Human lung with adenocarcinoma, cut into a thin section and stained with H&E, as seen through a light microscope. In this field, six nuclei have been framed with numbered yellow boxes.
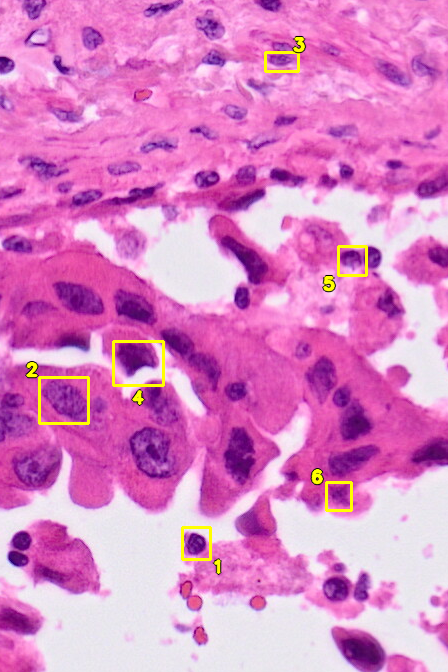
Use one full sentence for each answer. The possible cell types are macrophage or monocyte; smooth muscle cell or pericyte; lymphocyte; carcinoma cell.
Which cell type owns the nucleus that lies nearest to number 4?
The nucleus nearest to number 4 is that of a carcinoma cell.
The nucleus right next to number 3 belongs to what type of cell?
The nucleus nearest to number 3 is that of a smooth muscle cell or pericyte.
